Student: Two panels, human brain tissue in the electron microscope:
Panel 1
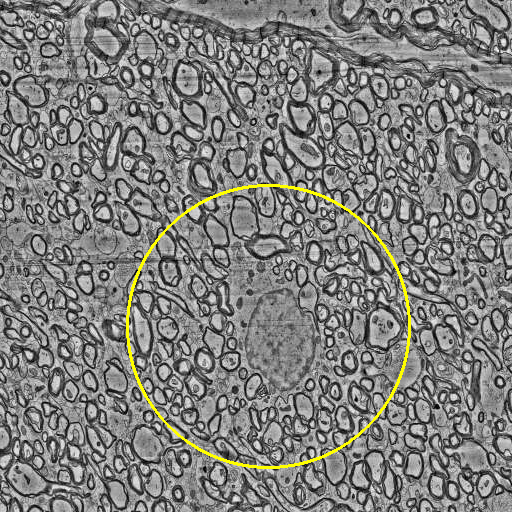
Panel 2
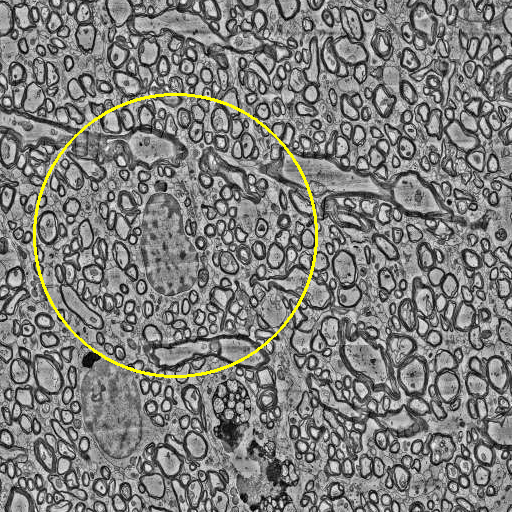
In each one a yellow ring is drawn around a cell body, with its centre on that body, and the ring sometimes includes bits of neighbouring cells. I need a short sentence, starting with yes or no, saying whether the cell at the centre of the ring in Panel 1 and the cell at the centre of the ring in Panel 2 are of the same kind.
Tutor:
No, they are two kinds of cell.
